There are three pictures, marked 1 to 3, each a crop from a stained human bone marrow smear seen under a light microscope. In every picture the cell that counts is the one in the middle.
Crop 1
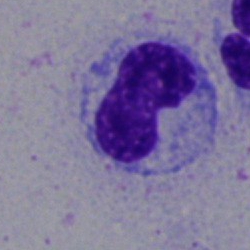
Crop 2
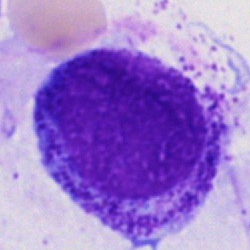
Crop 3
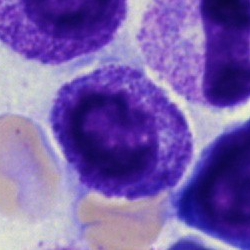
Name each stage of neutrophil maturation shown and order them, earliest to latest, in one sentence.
Moving up in maturity, the order goes crop 2 (a promyelocyte), crop 3 (a myelocyte) and crop 1 (a band neutrophil).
